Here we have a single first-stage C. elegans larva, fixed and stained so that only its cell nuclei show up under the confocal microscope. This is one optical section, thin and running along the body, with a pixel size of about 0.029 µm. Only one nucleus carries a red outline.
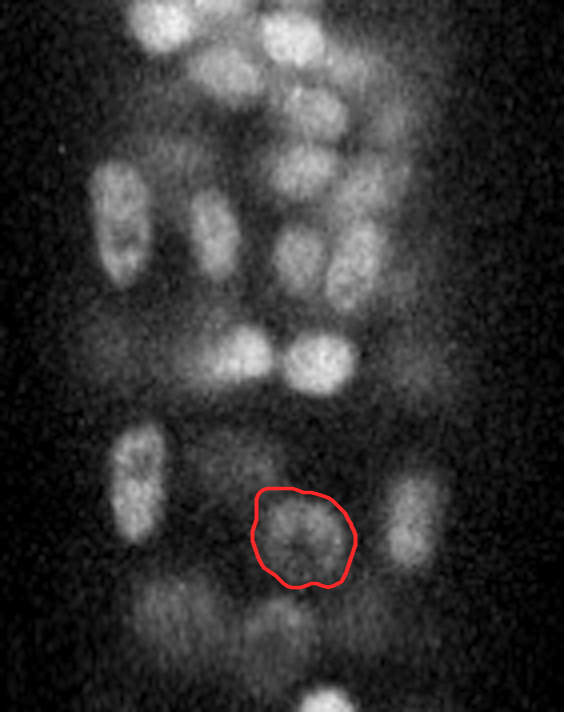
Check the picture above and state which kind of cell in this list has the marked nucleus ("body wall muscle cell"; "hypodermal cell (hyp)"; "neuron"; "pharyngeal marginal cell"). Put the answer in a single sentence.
The cell with the marked nucleus is a hypodermal cell (hyp).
